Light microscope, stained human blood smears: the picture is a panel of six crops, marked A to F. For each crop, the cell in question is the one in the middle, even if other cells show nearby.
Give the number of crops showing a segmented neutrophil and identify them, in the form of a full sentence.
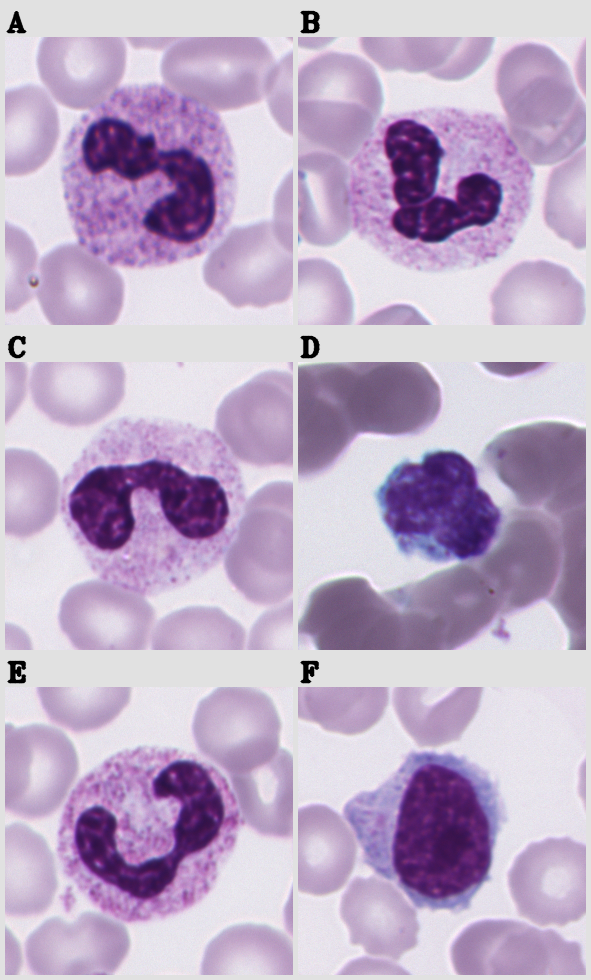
Where segmented neutrophils are concerned, four crops show them, namely A, B, C and E.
